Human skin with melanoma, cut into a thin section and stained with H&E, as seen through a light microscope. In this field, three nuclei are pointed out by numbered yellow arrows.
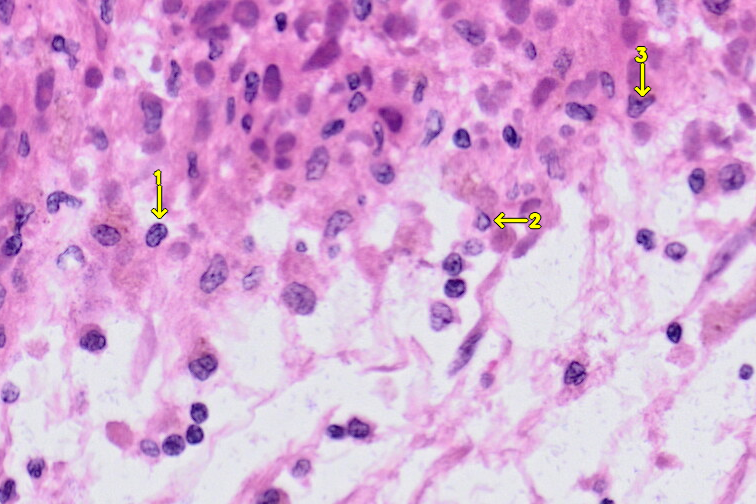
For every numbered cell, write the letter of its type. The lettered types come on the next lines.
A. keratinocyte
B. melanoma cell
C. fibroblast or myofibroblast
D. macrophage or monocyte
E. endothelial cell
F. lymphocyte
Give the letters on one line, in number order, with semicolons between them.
F; D; D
